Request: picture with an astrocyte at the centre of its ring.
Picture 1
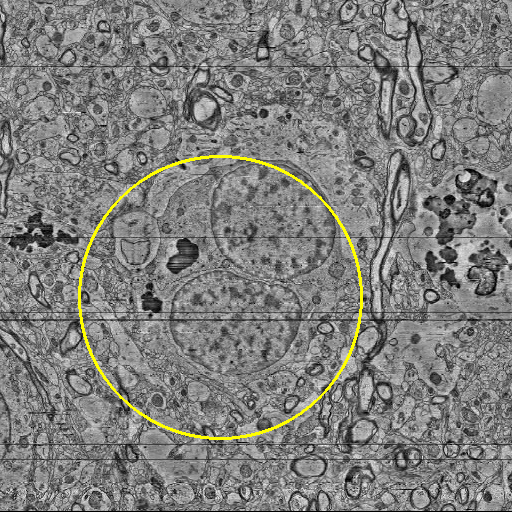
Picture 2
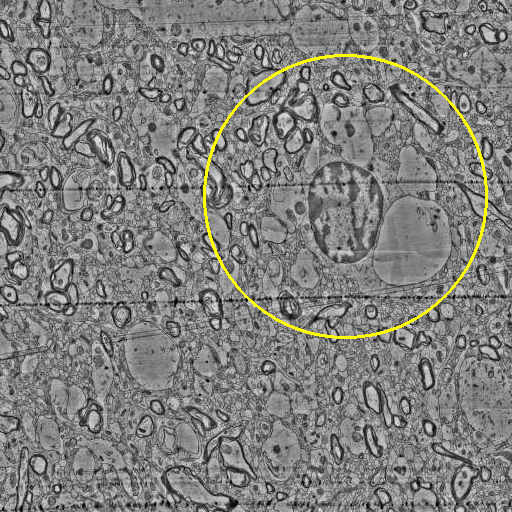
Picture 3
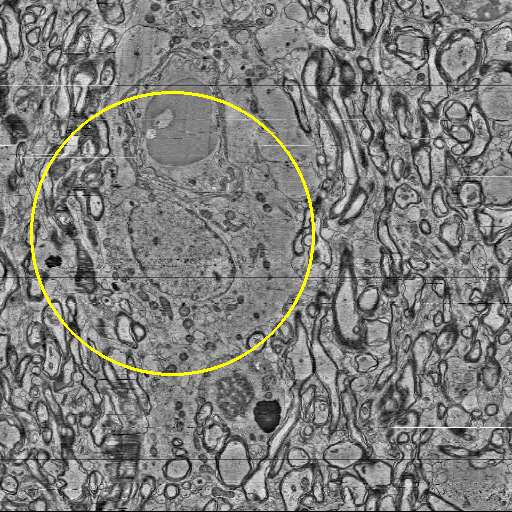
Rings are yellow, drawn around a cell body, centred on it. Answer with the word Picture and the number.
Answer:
Picture 3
